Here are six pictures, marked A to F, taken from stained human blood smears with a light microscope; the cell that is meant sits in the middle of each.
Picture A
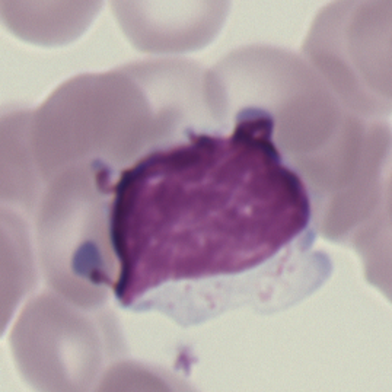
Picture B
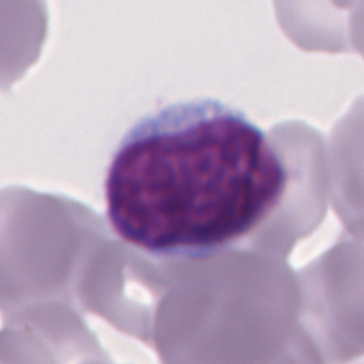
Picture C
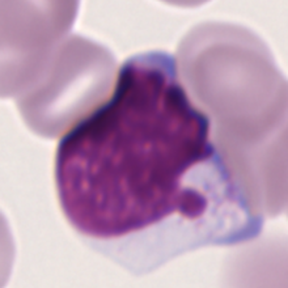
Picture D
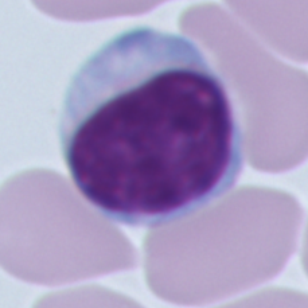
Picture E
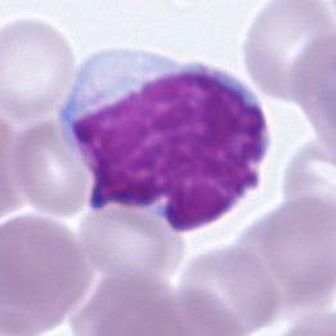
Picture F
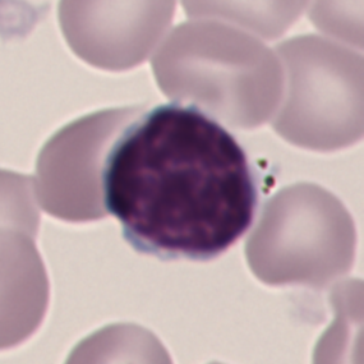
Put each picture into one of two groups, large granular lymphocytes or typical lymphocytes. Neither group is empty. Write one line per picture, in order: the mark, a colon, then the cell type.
A: large granular lymphocyte
B: typical lymphocyte
C: large granular lymphocyte
D: typical lymphocyte
E: large granular lymphocyte
F: typical lymphocyte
